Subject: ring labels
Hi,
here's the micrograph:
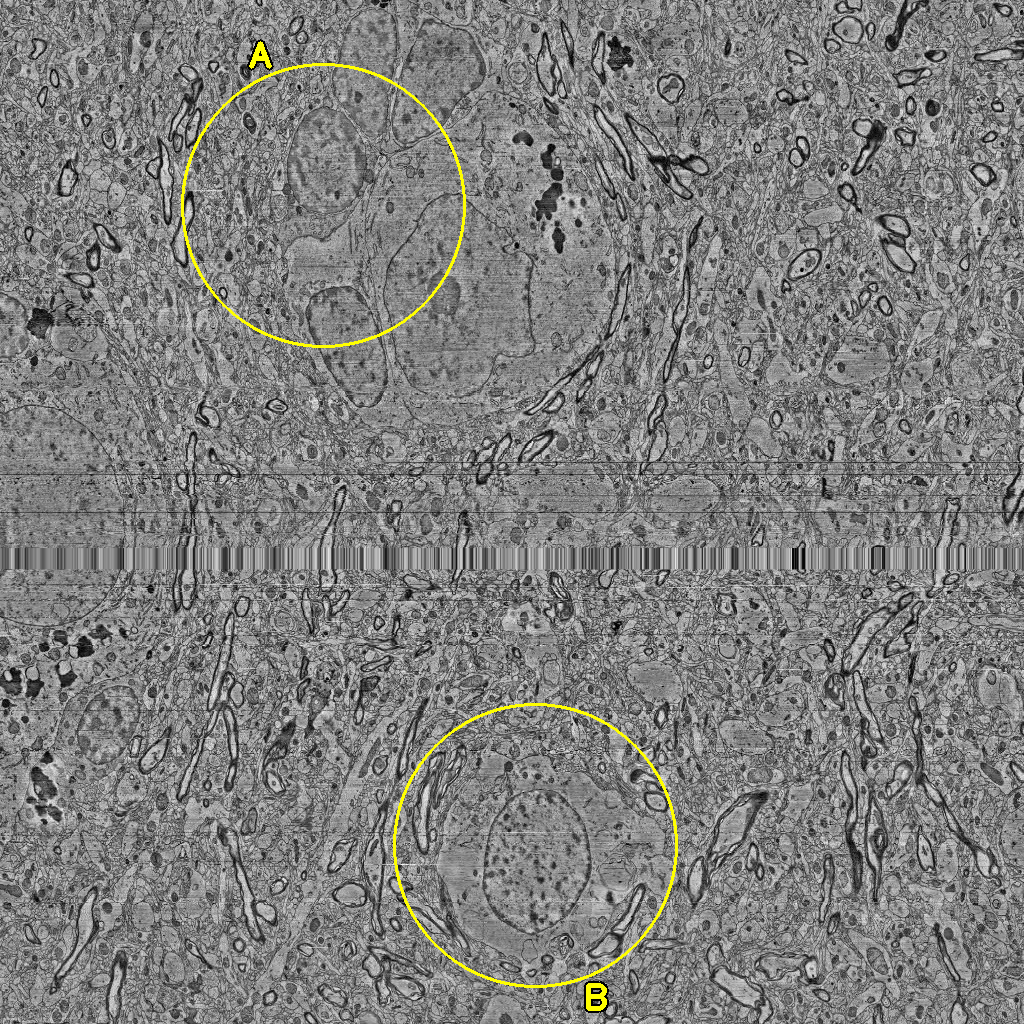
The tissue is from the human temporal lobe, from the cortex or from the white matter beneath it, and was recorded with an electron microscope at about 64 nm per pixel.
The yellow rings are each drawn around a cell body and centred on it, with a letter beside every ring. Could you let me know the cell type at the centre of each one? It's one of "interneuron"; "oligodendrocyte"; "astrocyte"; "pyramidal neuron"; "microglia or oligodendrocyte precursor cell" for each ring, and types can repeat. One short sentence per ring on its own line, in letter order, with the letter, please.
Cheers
The type at the centre of ring A is an oligodendrocyte.
The type at the centre of ring B is an astrocyte.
